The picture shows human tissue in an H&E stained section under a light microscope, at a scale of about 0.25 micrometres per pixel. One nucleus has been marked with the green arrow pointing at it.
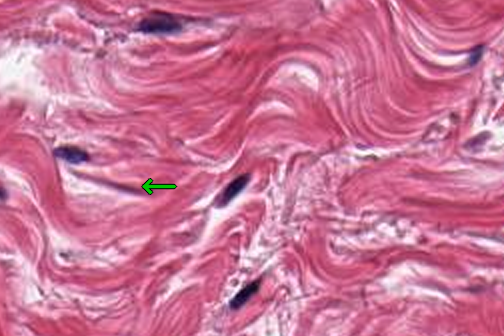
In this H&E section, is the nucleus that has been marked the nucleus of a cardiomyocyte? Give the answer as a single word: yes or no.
no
